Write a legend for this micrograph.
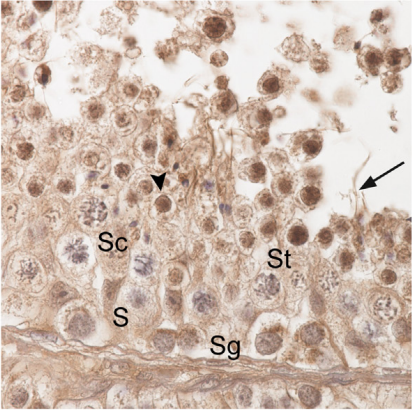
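A seminiferous epithelium rests on a thin fibrous wall at the bottom, with spermatogonia along the base, tall Sertoli cells reaching upward, large spermatocytes with coarse thread-like chromatin in the middle, and small round spermatids crowded toward the lumen. Brown stain fills the cytoplasm throughout, is darkest in the round spermatids near the lumen, and fine brown threads, the flagella, extend into the lumen.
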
